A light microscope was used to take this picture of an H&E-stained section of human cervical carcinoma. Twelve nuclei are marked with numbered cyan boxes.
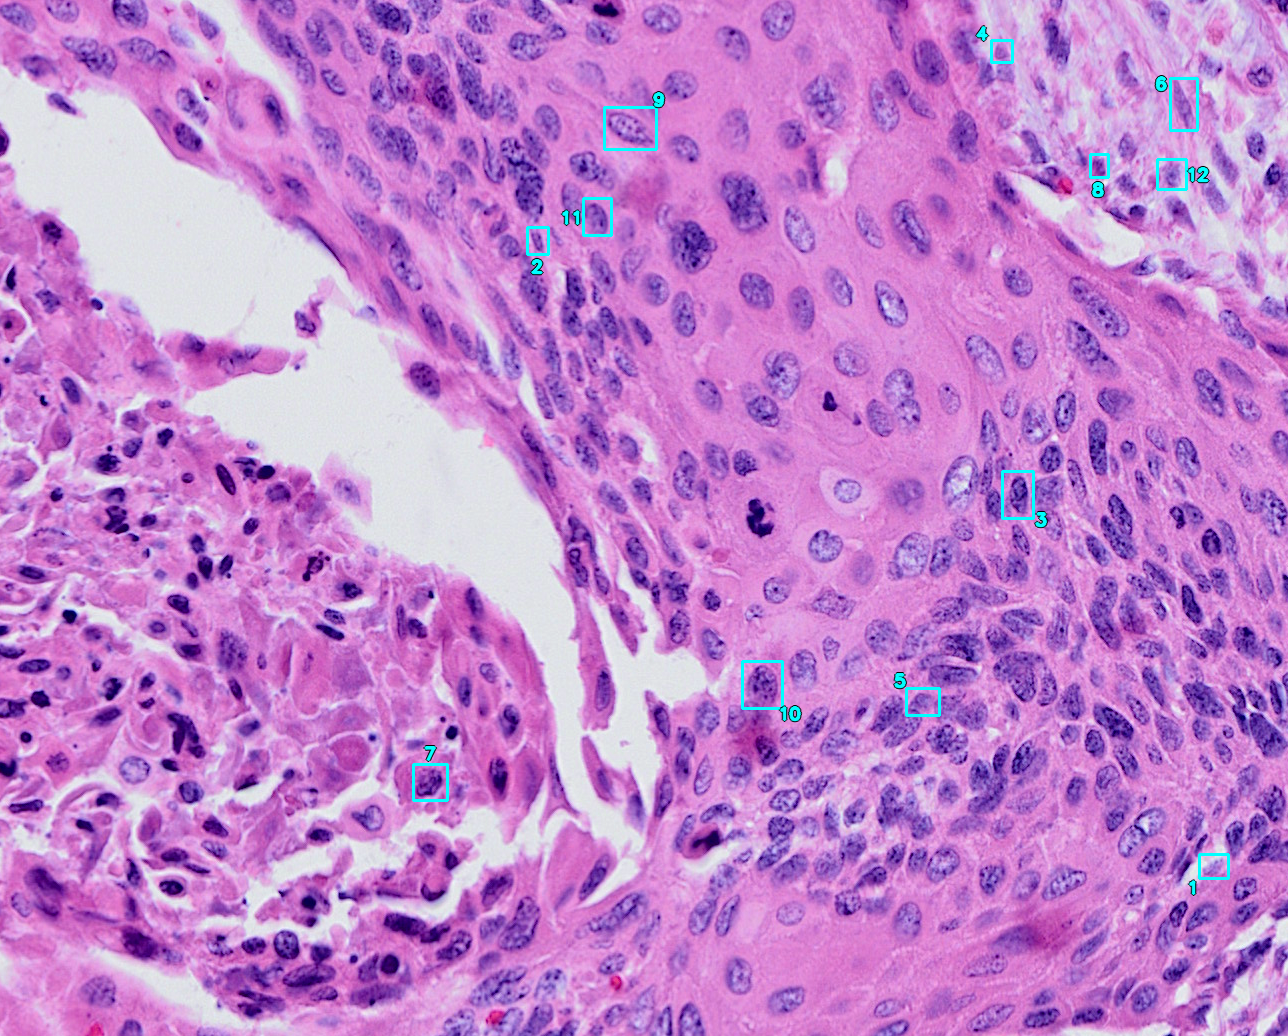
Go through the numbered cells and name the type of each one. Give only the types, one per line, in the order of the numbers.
squamous carcinoma cell
squamous carcinoma cell
squamous carcinoma cell
fibroblast
squamous carcinoma cell
fibroblast
macrophage or monocyte
fibroblast
squamous carcinoma cell
squamous carcinoma cell
squamous carcinoma cell
fibroblast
